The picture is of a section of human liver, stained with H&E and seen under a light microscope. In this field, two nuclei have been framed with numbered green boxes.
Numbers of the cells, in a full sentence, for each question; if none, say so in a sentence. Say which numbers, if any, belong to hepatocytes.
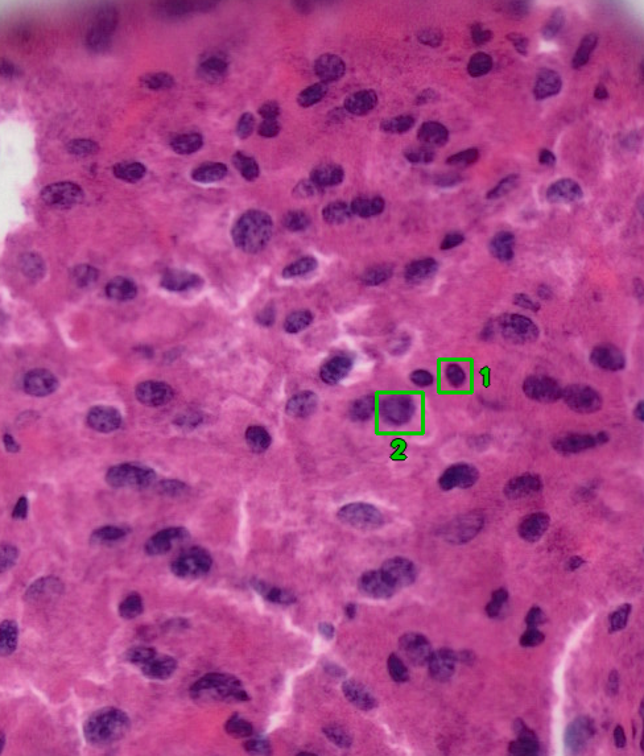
A single numbered cell, cell 2, is a hepatocyte.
